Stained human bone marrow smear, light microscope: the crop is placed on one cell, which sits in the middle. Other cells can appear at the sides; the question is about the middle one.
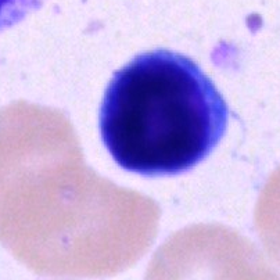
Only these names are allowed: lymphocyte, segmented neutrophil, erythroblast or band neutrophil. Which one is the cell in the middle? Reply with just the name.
lymphocyte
